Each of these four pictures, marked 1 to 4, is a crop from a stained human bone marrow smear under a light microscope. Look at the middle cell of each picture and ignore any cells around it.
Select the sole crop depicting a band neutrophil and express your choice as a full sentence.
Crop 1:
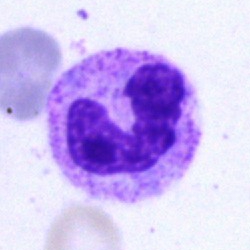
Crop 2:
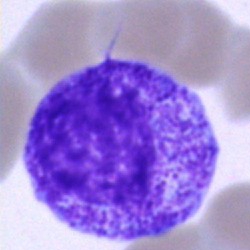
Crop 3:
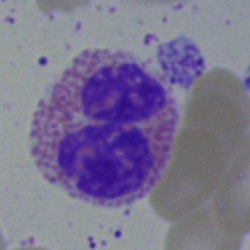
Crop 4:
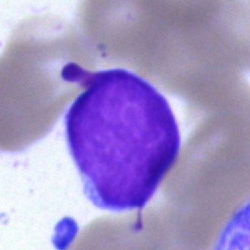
The crop marked 1 is the one that shows a band neutrophil.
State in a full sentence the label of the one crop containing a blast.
The crop carrying a blast at the center is crop 4.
